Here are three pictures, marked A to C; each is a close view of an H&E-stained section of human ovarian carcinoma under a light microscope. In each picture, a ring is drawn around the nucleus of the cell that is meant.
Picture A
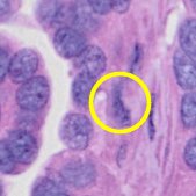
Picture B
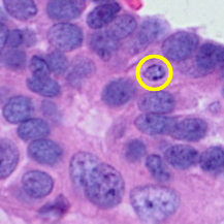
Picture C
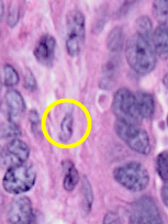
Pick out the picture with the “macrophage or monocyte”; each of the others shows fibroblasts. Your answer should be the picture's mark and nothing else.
B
